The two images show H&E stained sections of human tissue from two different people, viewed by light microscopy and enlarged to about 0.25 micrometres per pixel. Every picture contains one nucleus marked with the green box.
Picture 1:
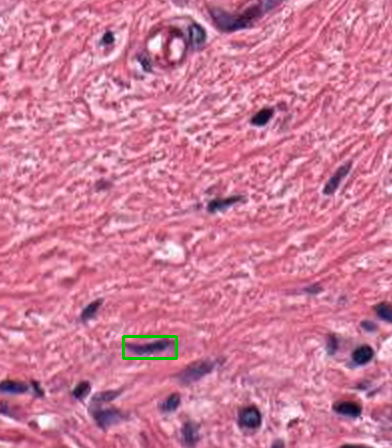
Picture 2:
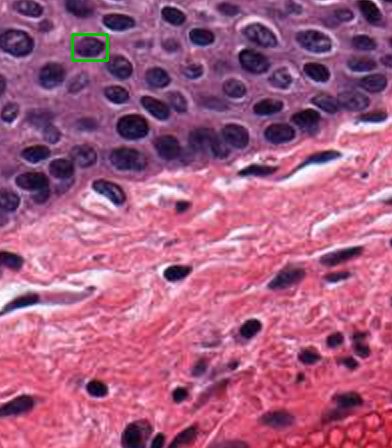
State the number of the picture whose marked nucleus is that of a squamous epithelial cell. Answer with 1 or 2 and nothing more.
2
